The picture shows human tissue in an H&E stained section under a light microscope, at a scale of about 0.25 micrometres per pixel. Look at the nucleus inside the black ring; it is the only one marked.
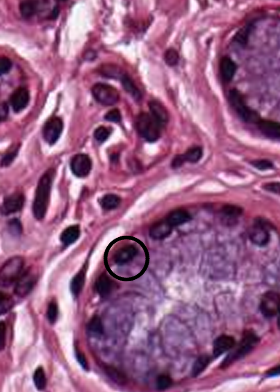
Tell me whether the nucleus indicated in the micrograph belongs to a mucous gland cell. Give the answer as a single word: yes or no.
yes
